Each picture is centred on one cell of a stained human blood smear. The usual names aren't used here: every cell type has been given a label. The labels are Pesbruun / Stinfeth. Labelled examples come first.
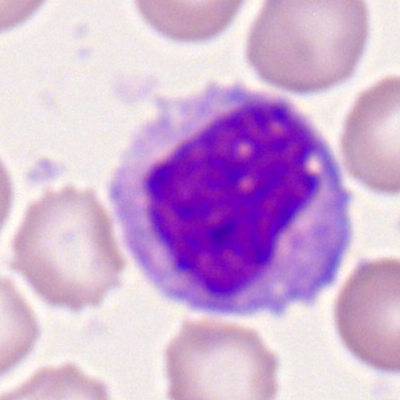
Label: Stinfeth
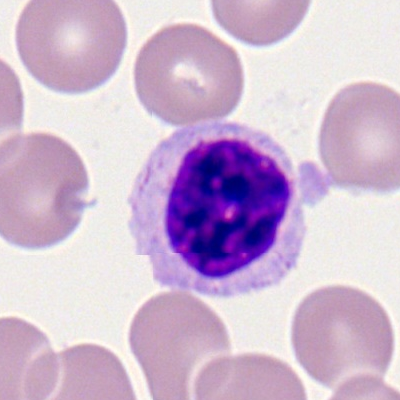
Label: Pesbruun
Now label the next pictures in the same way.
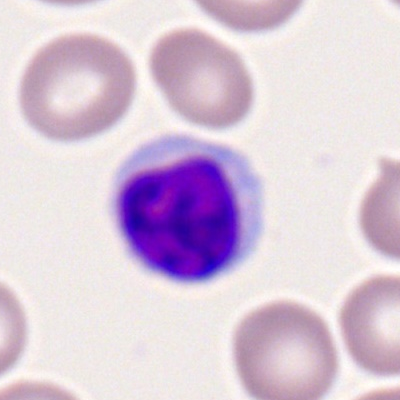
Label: Pesbruun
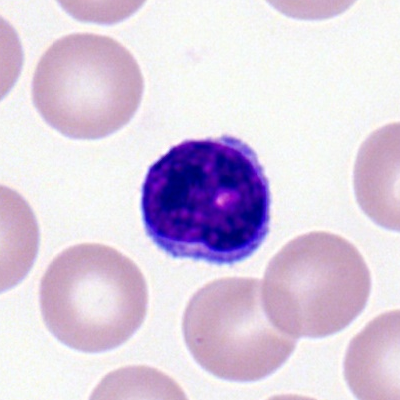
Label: Pesbruun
